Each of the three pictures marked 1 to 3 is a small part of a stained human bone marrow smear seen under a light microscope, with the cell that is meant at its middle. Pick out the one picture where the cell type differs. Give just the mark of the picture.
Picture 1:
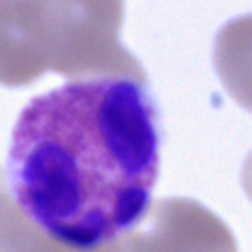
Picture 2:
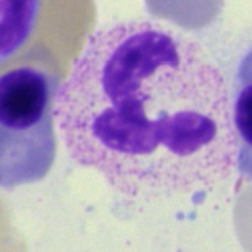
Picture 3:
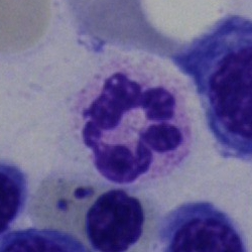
1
